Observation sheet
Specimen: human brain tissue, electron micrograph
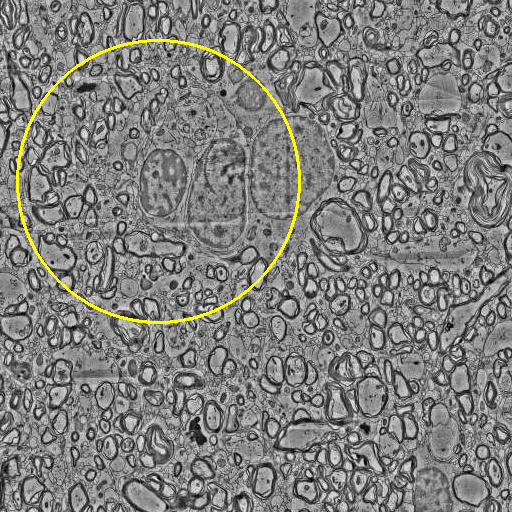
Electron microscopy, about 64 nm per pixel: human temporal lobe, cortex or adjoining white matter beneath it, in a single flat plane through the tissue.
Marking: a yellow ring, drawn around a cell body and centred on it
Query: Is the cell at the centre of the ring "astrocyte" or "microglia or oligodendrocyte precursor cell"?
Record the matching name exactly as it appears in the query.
microglia or oligodendrocyte precursor cell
